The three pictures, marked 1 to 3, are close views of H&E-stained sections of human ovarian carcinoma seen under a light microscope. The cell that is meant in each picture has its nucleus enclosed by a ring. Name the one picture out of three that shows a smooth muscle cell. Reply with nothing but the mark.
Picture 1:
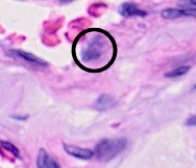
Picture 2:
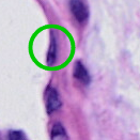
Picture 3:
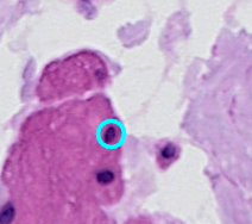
3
